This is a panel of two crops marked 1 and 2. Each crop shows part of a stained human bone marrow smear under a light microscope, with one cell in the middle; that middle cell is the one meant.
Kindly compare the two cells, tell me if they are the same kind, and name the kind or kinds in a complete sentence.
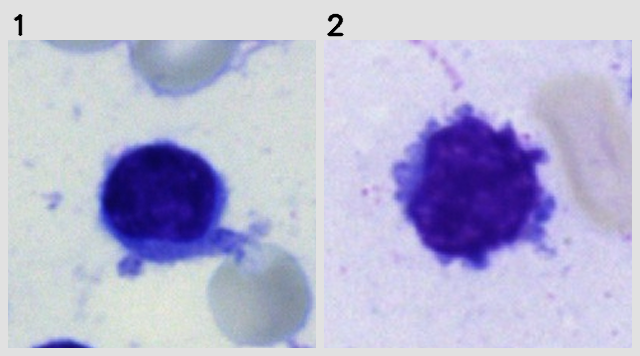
Yes, put down lymphocytes for both crops.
